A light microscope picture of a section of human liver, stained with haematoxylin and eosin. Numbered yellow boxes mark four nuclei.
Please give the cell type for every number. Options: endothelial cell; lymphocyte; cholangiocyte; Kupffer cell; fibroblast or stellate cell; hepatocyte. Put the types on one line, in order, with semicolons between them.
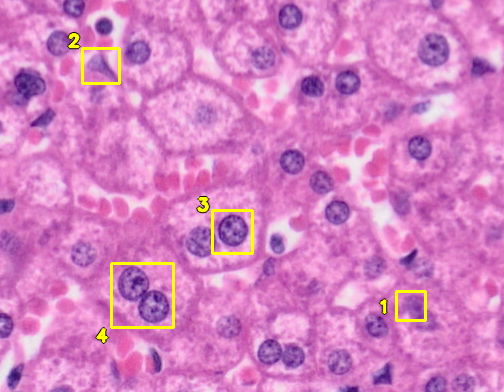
hepatocyte; Kupffer cell; hepatocyte; hepatocyte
